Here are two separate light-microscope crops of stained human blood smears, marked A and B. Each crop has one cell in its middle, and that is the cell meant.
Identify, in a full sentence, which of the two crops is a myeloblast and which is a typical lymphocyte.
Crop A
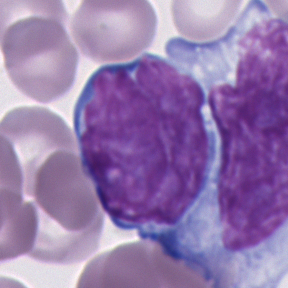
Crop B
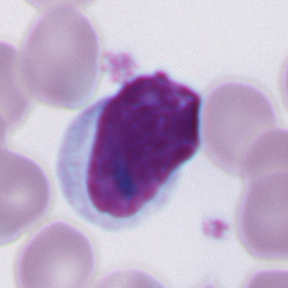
Crop A is a myeloblast; crop B, on the other hand, is a typical lymphocyte.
